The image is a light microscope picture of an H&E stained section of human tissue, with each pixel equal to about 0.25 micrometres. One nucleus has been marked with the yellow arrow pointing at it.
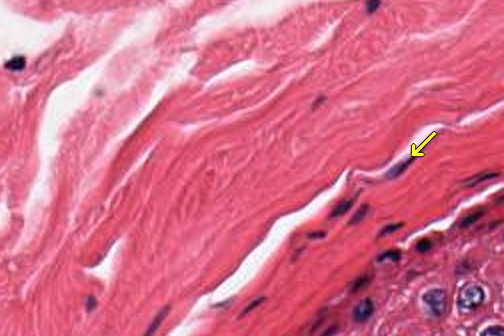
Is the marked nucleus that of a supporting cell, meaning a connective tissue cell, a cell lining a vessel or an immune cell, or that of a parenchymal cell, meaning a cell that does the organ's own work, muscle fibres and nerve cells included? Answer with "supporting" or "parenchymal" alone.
supporting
